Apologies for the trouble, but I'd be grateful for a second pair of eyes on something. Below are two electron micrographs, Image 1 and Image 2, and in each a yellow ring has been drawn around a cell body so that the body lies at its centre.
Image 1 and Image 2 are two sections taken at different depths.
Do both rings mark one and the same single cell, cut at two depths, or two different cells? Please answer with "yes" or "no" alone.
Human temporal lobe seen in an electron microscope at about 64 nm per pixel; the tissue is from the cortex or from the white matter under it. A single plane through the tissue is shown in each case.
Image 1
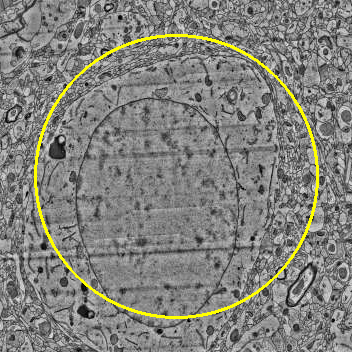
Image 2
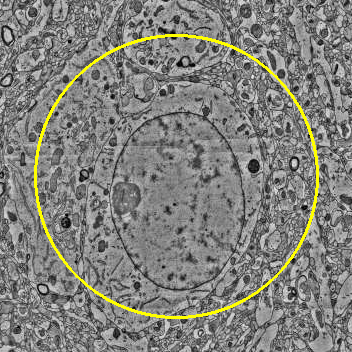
no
